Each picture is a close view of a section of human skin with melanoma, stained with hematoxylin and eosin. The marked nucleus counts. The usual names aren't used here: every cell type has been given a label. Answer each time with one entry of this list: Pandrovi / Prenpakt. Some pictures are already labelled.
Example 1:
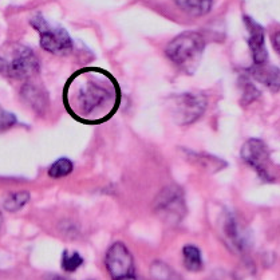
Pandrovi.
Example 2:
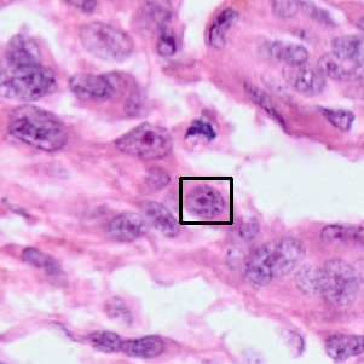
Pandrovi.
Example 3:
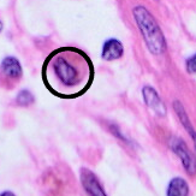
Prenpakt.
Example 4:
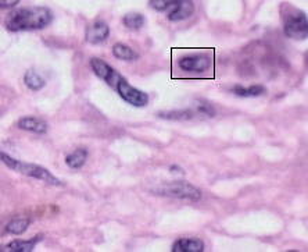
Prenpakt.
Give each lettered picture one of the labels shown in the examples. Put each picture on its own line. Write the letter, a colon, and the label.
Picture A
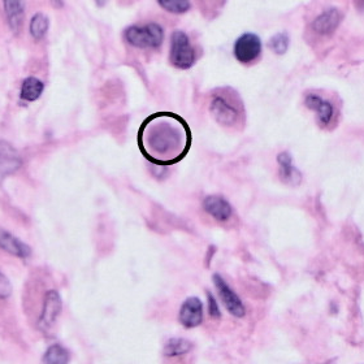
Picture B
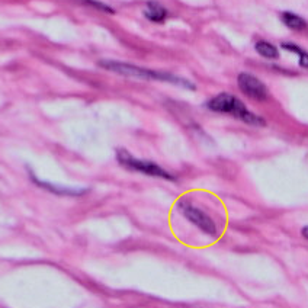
A: Prenpakt.
B: Prenpakt.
